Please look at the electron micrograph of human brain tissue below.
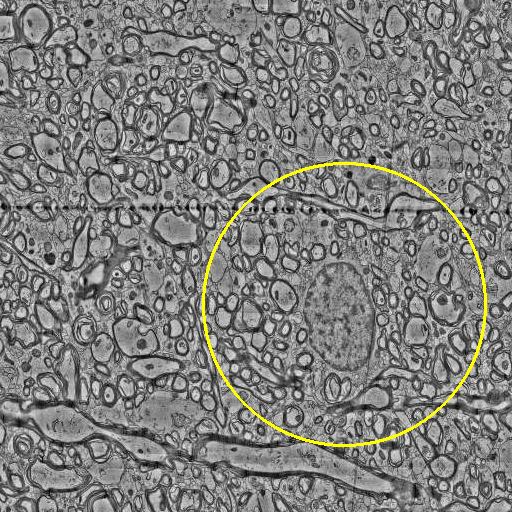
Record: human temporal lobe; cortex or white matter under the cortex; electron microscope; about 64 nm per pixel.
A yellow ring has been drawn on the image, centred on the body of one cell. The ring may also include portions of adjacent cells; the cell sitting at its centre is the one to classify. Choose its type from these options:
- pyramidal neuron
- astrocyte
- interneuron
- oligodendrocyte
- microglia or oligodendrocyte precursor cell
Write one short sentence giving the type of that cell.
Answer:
The cell in the middle of the ring is an oligodendrocyte.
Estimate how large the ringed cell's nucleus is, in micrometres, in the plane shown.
About 7 by 5 micrometres in this plane.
